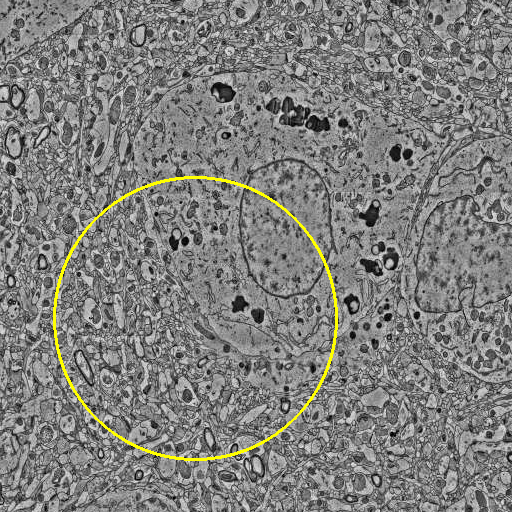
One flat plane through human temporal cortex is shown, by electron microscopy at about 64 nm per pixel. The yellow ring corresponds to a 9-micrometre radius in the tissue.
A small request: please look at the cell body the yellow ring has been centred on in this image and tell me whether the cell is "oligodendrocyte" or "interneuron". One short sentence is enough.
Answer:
The cell marked by the ring is an oligodendrocyte.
